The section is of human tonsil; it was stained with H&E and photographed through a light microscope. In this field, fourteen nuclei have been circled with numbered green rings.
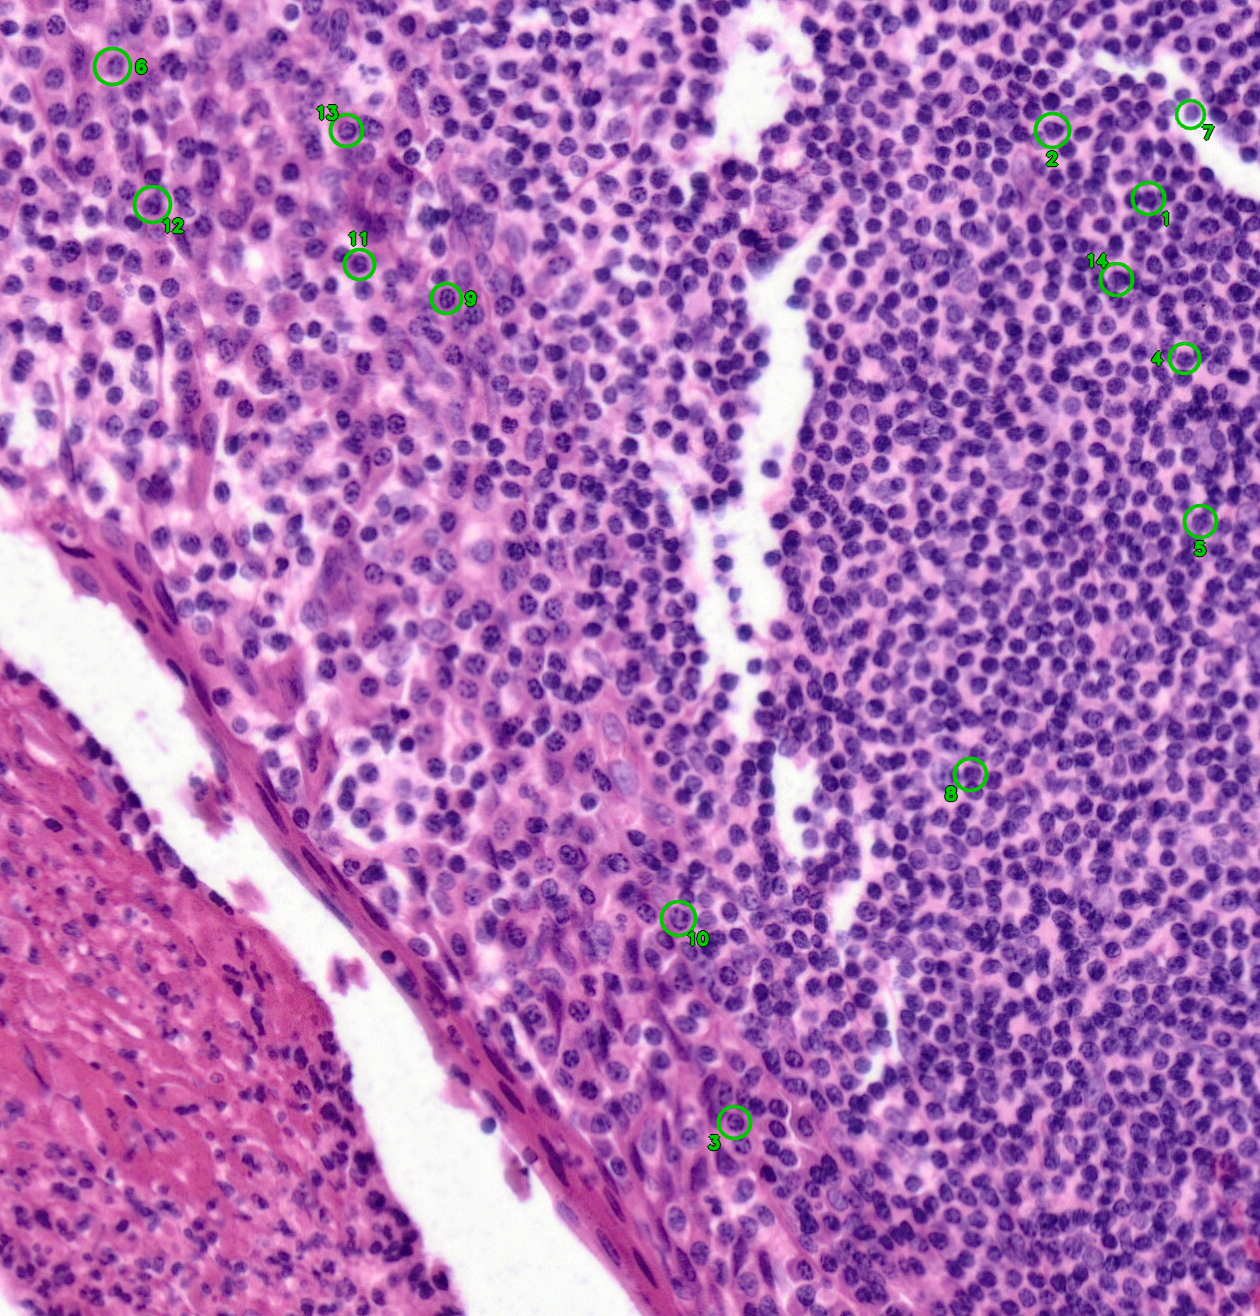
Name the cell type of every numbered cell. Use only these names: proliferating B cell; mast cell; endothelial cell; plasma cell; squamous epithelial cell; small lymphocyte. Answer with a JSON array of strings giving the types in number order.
["small lymphocyte", "small lymphocyte", "plasma cell", "small lymphocyte", "small lymphocyte", "plasma cell", "small lymphocyte", "small lymphocyte", "plasma cell", "plasma cell", "plasma cell", "plasma cell", "plasma cell", "small lymphocyte"]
